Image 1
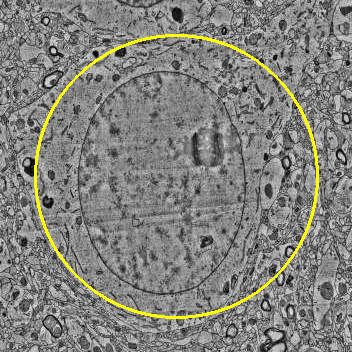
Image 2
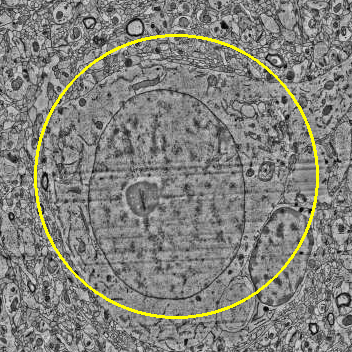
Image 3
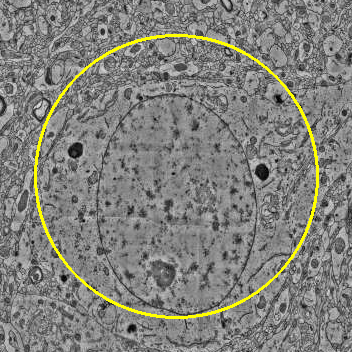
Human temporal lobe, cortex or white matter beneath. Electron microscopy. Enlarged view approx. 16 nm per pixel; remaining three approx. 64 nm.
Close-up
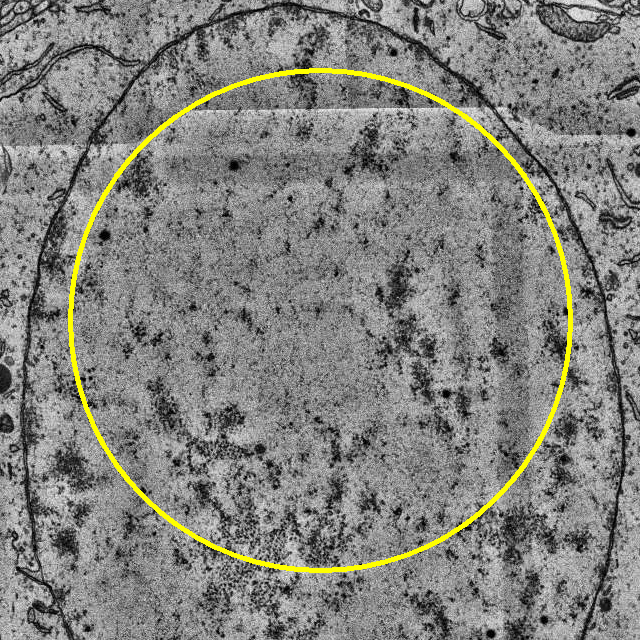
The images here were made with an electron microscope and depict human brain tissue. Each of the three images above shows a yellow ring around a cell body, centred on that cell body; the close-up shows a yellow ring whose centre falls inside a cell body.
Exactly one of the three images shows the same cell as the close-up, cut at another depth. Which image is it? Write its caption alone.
Image 3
